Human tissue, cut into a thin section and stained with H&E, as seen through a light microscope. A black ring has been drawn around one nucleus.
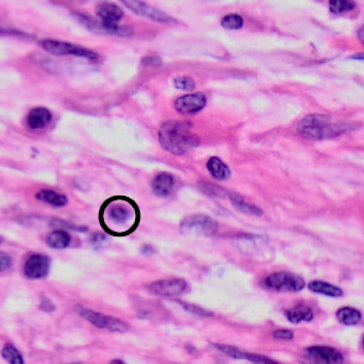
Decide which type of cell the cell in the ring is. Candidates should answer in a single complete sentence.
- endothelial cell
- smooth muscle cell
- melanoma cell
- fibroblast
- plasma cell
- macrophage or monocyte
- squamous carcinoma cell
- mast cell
In this tissue sample, the cell in the ring is a plasma cell.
